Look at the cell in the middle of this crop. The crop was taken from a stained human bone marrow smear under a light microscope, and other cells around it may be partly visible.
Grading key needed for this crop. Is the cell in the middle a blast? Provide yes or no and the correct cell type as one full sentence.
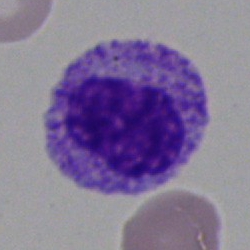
No, the centrally located cell is a myelocyte rather than a blast.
